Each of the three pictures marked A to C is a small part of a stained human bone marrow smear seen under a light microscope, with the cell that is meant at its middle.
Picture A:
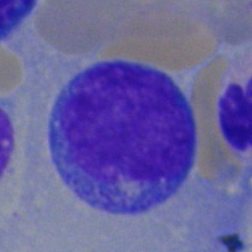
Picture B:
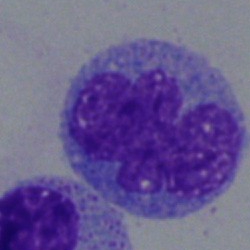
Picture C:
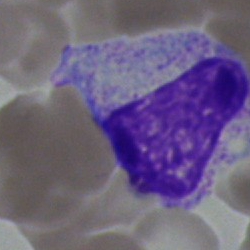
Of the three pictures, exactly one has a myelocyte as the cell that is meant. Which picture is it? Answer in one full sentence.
It is picture C that shows the myelocyte.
